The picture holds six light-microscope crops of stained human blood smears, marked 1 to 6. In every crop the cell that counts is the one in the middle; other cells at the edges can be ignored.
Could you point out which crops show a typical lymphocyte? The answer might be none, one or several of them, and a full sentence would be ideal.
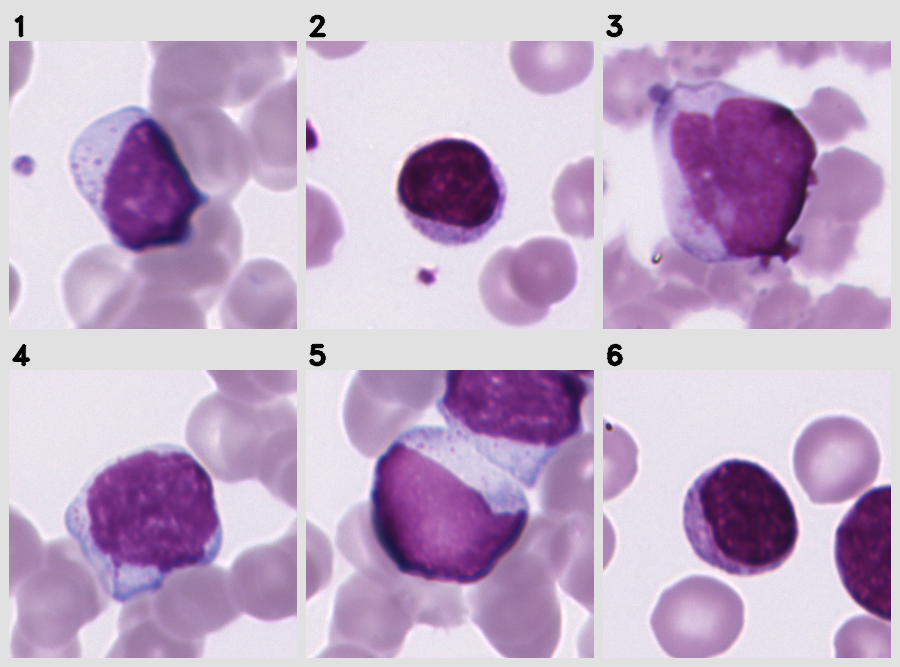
Crops 2 and 6 feature typical lymphocytes as the cells at their centres.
